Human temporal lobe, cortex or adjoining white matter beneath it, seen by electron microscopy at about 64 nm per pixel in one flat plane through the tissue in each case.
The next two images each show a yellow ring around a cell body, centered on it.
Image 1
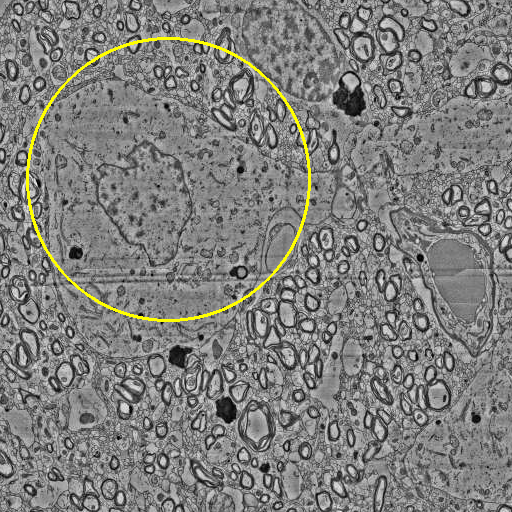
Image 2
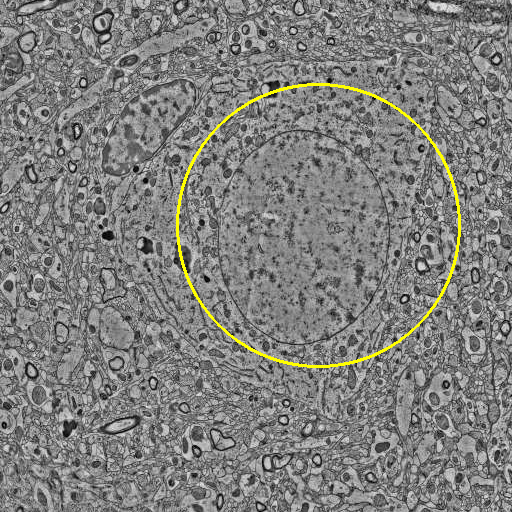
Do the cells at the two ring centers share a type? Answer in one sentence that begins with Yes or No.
Yes, across the two images the cells at the ring centers share one type.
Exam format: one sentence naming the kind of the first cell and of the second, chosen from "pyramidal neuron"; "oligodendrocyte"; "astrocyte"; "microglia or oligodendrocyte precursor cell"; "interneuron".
In the first picture and in the second, the ring is centred on a pyramidal neuron.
